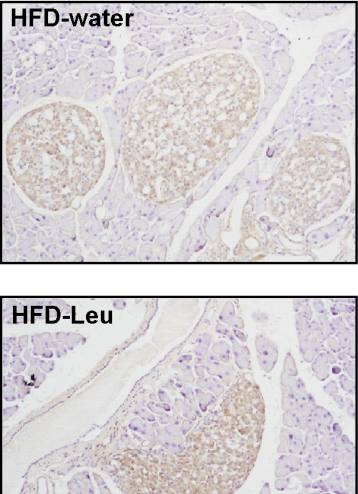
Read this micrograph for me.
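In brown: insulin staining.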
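These are sections of pancreas in which rounded, well-demarcated Langerhans islets stand out as brown-stained clusters of small, closely packed cells. Around them lies pale purple tissue of larger glandular cells grouped in small clusters, with thin pale strands of connective tissue running between the lobules. In the lower image a single islet sits beside a large vessel cut in section.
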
